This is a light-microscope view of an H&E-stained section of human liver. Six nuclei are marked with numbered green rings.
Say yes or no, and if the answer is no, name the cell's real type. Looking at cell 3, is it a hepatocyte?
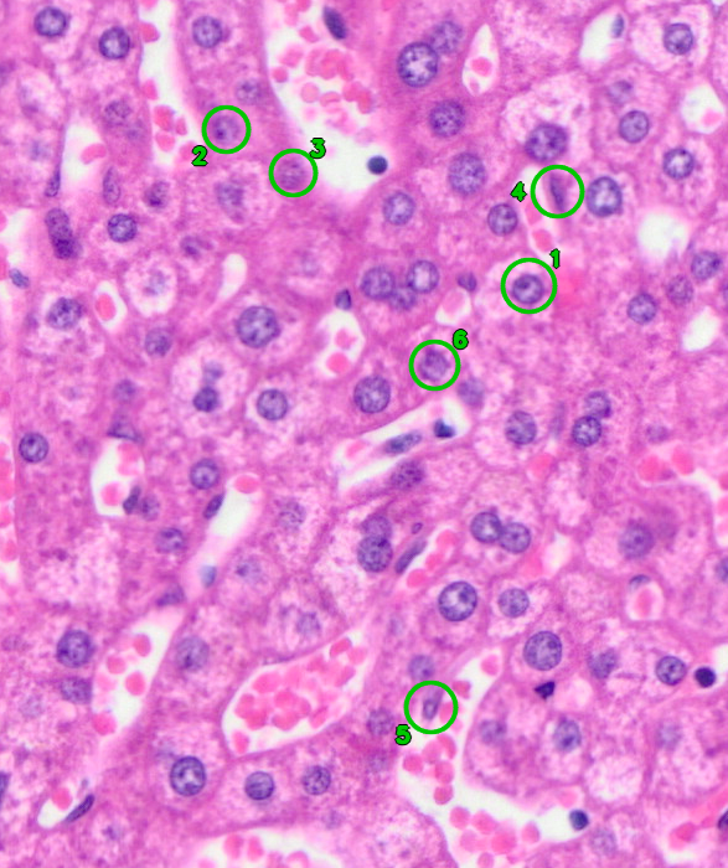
Yes.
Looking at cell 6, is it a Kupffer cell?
No, it is a hepatocyte.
